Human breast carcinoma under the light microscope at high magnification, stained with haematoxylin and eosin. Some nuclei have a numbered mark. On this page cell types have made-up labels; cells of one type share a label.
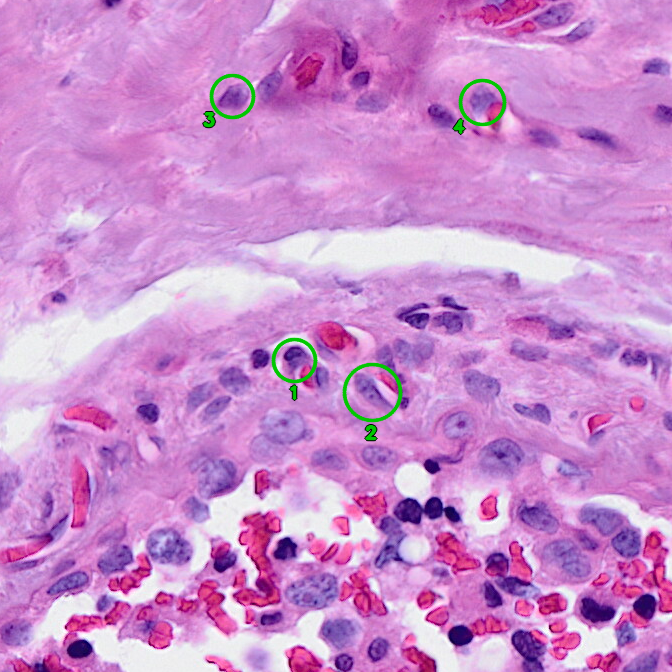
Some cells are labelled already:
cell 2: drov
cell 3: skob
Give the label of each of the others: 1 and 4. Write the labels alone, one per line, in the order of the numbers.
drov
drov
